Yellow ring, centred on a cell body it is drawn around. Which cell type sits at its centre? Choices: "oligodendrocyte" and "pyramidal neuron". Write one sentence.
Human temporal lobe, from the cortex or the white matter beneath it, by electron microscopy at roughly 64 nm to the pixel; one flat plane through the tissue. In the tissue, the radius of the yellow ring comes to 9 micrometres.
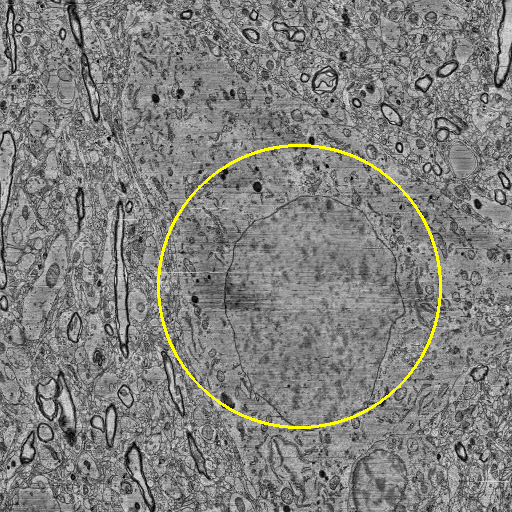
At the centre of the ring sits a pyramidal neuron.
